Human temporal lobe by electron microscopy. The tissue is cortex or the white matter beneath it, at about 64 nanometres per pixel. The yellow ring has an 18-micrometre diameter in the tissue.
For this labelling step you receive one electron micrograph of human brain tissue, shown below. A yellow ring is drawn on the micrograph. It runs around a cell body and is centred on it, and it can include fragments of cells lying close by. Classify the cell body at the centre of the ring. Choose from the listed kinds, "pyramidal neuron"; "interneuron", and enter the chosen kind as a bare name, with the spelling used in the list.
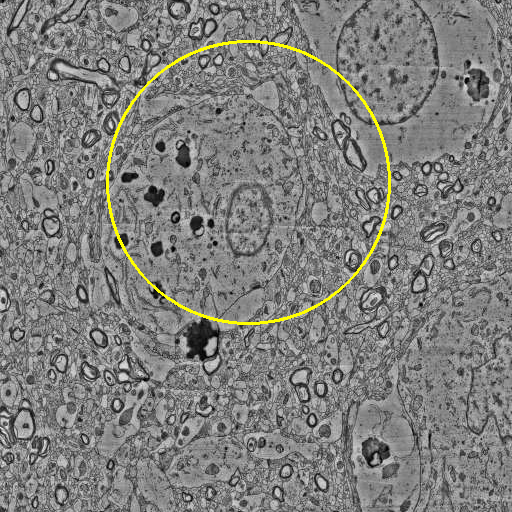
pyramidal neuron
